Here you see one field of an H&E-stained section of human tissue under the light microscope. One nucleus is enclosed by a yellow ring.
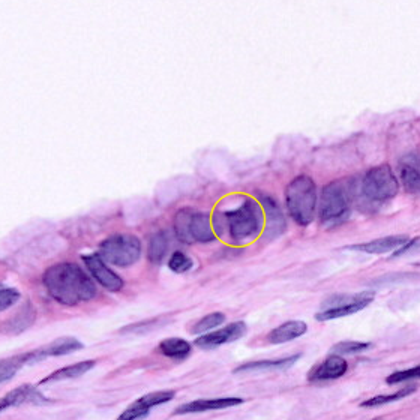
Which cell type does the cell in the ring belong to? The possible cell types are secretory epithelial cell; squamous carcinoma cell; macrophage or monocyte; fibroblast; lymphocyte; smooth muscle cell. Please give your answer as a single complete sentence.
The identity of the cell in the ring is that of a secretory epithelial cell.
